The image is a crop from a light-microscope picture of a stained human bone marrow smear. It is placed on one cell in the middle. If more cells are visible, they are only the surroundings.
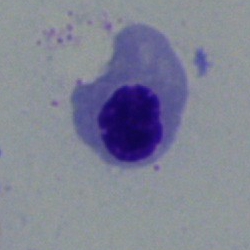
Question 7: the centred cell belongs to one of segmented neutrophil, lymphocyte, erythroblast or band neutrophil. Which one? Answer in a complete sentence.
The cell positioned in the middle of the field is an erythroblast.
